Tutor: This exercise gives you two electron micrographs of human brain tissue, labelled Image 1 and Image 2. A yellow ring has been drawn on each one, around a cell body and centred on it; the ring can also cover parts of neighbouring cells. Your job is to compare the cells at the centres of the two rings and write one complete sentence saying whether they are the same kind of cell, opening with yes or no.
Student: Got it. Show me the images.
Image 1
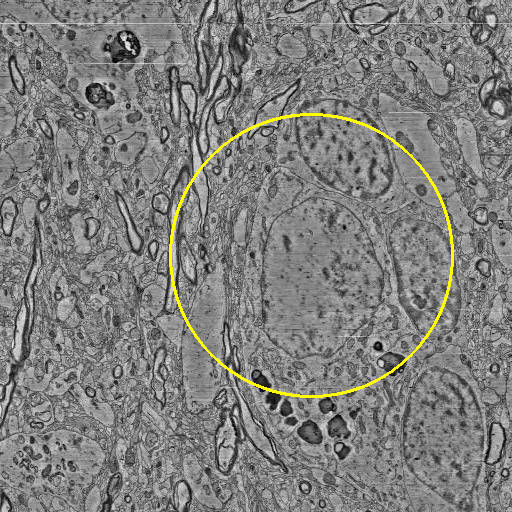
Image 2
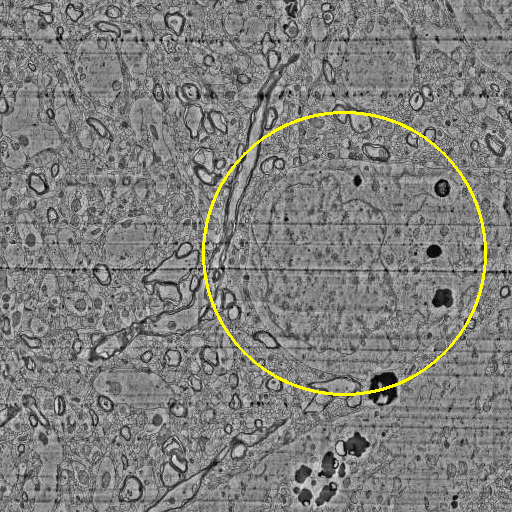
Yes, the two cells belong to the same kind.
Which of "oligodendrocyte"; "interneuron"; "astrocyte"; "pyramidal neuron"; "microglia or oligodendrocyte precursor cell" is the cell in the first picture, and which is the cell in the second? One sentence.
Each of the two rings is centred on an interneuron.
